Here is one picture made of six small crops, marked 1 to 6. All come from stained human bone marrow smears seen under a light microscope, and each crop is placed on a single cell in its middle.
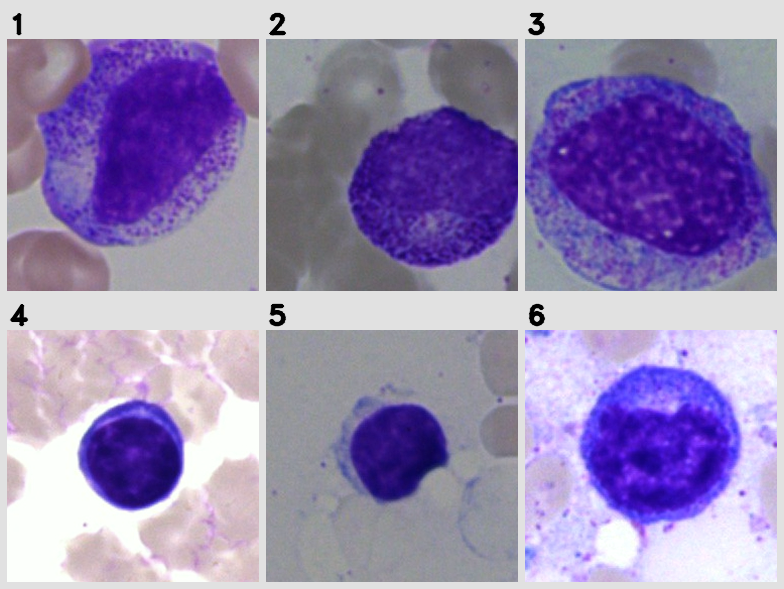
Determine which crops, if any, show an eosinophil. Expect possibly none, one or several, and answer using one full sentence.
The crops do not show an eosinophil, not even in one case.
